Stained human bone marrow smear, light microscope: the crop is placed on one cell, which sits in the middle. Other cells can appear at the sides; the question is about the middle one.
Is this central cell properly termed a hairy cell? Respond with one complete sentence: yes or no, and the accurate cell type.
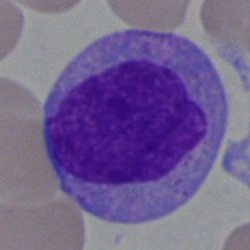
No, in the middle of the crop there is a monocyte rather than a hairy cell.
